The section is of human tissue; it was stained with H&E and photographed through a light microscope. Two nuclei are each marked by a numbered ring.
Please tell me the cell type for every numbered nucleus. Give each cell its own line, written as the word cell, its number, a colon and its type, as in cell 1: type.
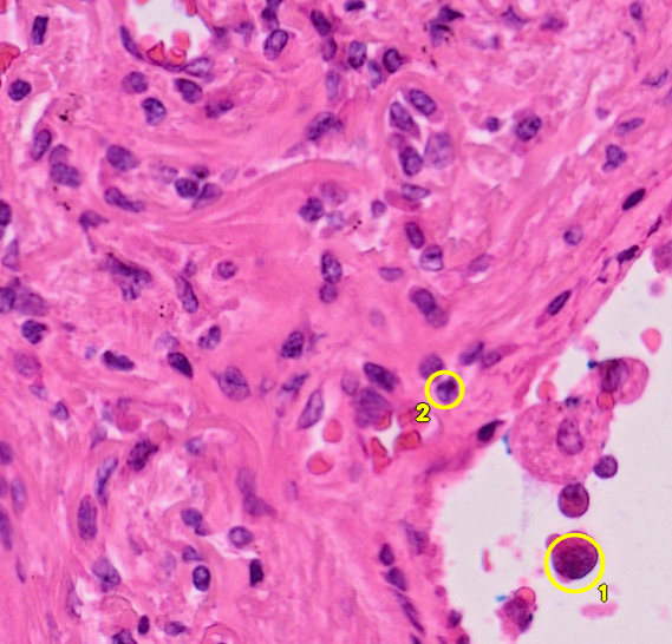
cell 1: carcinoma cell
cell 2: lymphocyte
